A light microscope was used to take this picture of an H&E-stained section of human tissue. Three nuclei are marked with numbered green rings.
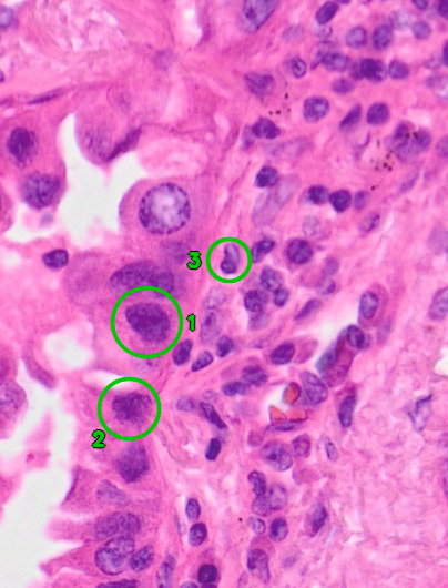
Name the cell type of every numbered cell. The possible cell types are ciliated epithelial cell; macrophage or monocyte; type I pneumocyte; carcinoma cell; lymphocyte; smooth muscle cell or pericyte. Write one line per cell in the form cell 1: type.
cell 1: carcinoma cell
cell 2: carcinoma cell
cell 3: lymphocyte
